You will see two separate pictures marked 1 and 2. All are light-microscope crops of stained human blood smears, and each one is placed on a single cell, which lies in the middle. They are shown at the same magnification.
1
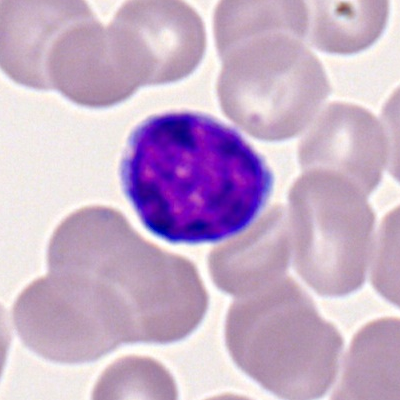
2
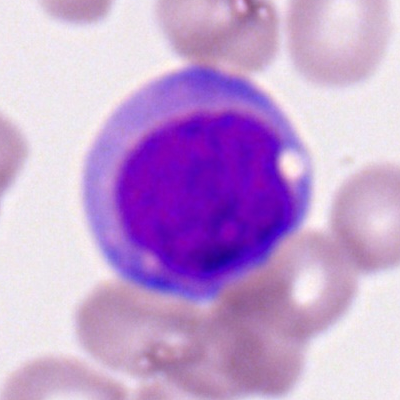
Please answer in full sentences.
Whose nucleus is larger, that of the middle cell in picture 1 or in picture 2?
It is the nucleus in picture 2, about 1.5 times as large in area as the one in picture 1.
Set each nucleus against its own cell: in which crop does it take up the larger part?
In picture 1 the nucleus takes up the larger part of its cell.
